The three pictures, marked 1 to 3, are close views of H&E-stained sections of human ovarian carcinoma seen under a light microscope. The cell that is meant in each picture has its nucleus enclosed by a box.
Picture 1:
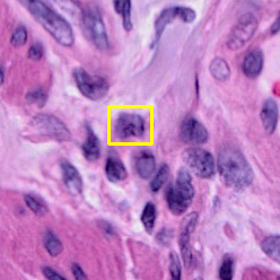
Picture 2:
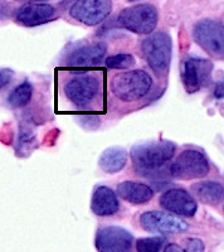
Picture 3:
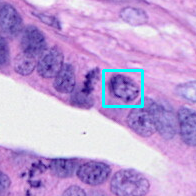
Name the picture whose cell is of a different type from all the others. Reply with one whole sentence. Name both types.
The others show “macrophages or monocytes”, but picture 2 shows a carcinoma cell.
